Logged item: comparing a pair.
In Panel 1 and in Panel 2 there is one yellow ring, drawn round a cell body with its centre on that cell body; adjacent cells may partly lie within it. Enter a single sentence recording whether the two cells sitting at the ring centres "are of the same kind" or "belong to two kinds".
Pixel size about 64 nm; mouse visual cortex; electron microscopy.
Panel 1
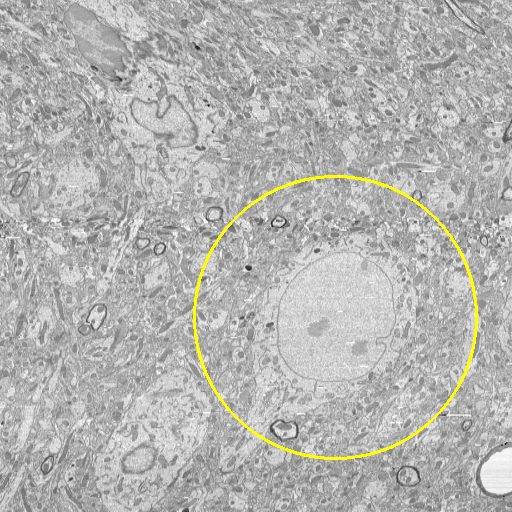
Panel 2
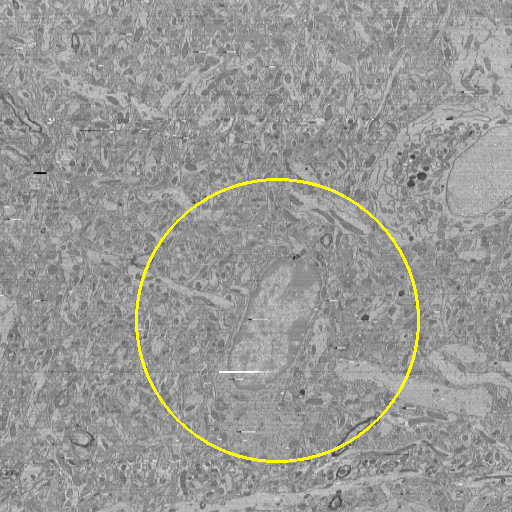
Logged: the cells centred in the rings of Panel 1 and Panel 2 belong to two kinds.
